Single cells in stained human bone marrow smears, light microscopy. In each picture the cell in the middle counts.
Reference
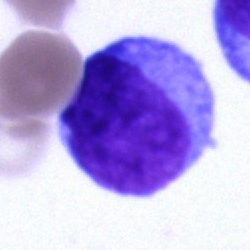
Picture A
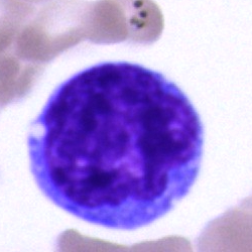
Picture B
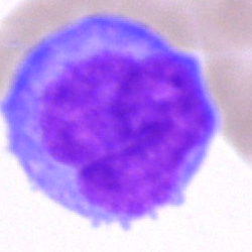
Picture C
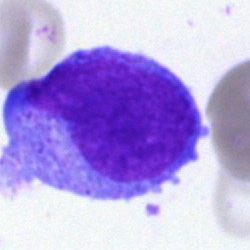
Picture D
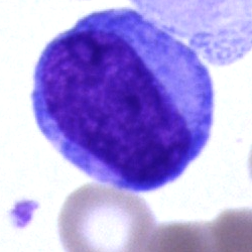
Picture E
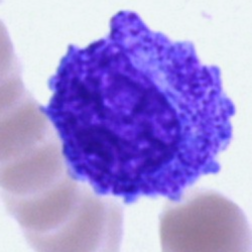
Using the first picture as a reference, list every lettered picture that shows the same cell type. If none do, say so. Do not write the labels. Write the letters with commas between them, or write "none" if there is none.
A, B, C, D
